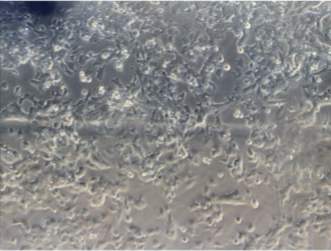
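This phase contrast view shows a culture of cells that covers the substrate far more densely than a sparse seeding would. Cells are crowded into irregular patches, more closely packed in the upper part of the field. Many cells are flattened and spread, with irregular outlines. Others are still rounded and phase-bright. Cells touch one another in groups, leaving smaller gaps of bare substrate between the patches. A faint horizontal line crosses the field near its middle.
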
